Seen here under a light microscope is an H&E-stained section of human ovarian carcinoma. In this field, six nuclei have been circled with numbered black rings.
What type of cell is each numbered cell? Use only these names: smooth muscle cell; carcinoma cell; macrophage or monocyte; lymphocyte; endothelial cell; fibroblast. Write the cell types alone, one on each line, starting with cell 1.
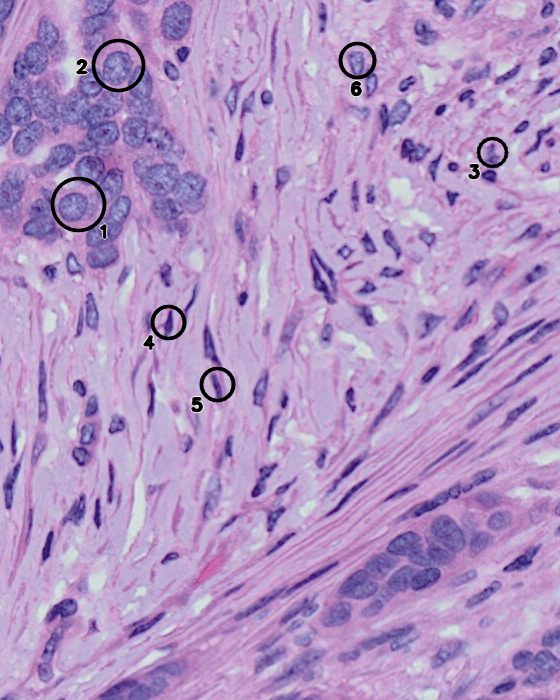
carcinoma cell
carcinoma cell
fibroblast
fibroblast
fibroblast
fibroblast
